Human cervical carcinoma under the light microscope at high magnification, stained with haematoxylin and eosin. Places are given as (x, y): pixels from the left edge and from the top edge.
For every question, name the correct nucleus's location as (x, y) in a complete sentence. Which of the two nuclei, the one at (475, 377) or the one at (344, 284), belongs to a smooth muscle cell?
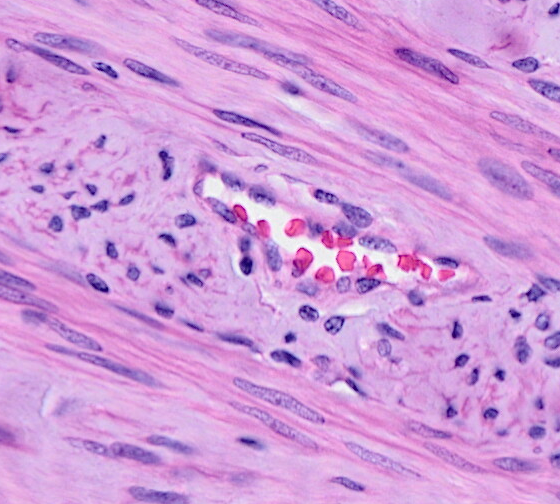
Identified as belonging to a smooth muscle cell is the nucleus at (475, 377).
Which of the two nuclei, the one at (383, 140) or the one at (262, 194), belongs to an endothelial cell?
The nucleus whose position is (262, 194) belongs to an endothelial cell.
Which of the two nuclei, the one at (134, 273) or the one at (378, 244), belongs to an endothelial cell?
Rather than the other nucleus, the one at (378, 244) belongs to an endothelial cell.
